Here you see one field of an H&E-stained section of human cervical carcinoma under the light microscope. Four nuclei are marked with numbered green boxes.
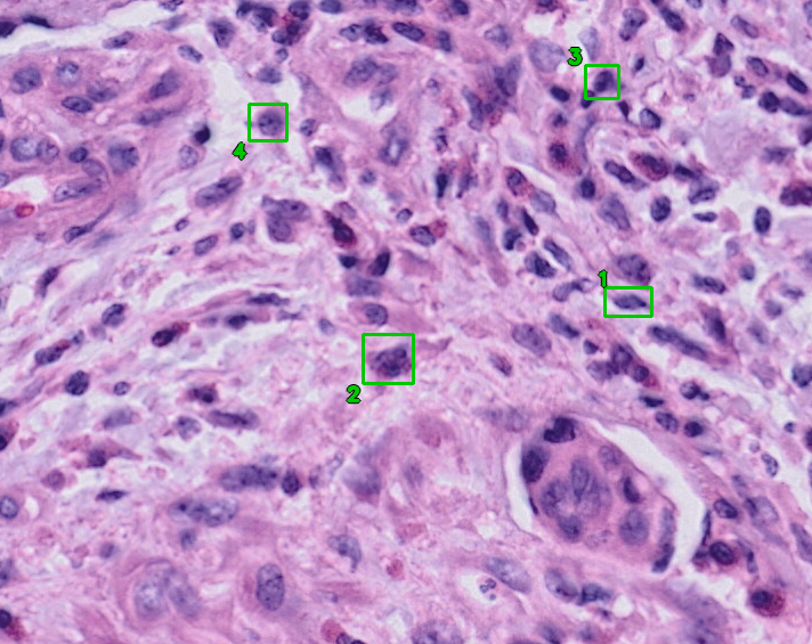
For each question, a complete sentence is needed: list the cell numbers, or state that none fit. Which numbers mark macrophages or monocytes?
The cells with numbers 2 and 4 are macrophages or monocytes by type.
